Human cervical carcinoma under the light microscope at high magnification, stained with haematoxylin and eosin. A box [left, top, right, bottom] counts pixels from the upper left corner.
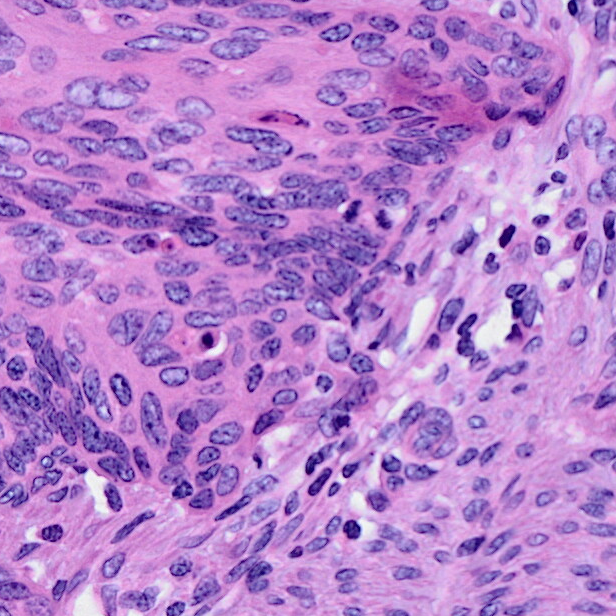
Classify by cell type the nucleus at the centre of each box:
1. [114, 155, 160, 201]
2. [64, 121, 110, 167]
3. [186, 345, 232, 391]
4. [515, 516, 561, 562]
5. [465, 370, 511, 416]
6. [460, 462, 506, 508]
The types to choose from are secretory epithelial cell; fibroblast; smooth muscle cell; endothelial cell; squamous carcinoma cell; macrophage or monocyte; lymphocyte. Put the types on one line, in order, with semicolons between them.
squamous carcinoma cell; squamous carcinoma cell; squamous carcinoma cell; smooth muscle cell; smooth muscle cell; smooth muscle cell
